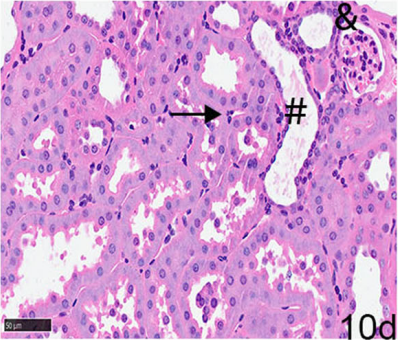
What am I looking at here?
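Renal tubules of kidney cortex are lined by pink epithelial cells with round purple nuclei, and several lumens are widened and empty. One long tubule has a broad, open lumen lined by thin, flattened epithelium. Other tubules show pale, frayed luminal surfaces with loose material in the lumen, and a glomerulus rich in nuclei sits at the upper right.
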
